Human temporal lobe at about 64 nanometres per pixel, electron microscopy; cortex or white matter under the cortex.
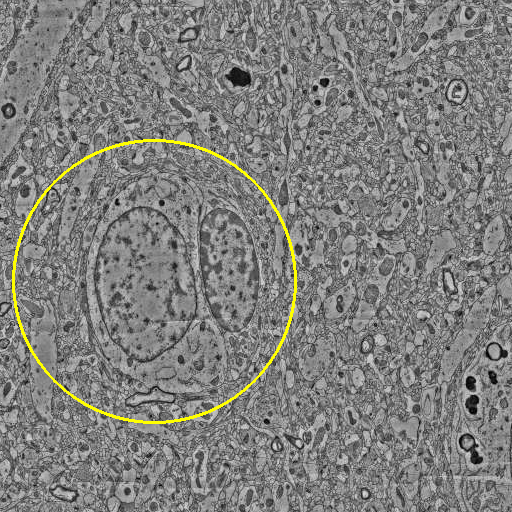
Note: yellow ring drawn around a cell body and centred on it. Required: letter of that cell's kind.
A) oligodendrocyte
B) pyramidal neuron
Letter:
B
